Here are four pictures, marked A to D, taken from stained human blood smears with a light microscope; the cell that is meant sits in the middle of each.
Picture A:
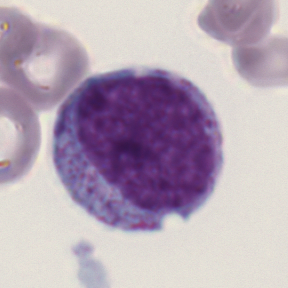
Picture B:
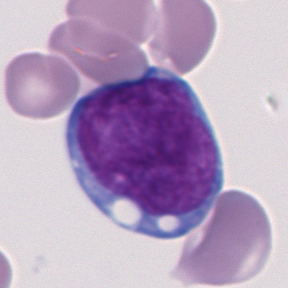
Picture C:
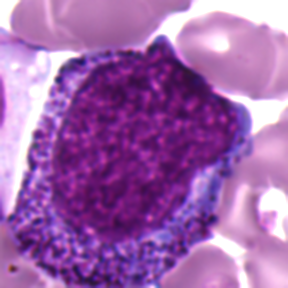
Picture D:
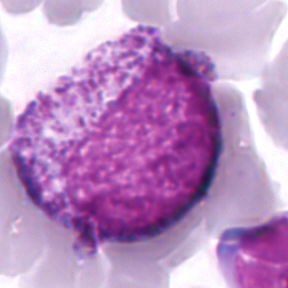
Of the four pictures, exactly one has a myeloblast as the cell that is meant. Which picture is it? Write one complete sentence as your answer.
Picture B shows the myeloblast.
